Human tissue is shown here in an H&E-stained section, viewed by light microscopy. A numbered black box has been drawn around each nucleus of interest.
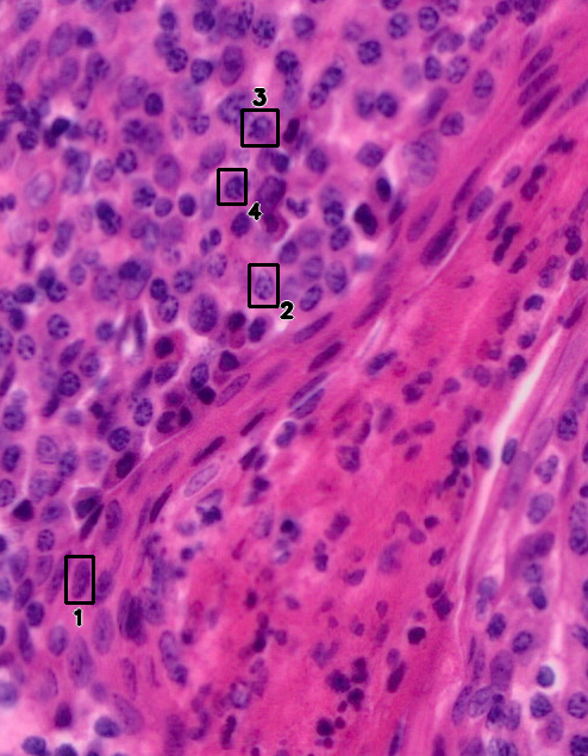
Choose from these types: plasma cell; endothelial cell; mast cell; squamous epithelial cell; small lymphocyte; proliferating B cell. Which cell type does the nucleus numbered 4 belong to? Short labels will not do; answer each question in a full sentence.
The marked nucleus 4 is that of a plasma cell.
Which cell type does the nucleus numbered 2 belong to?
The nucleus marked 2 is the nucleus of a plasma cell.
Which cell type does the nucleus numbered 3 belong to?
The mark numbered 3 indicates the nucleus of a plasma cell.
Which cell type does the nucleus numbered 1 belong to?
The cell to which the number 1 is assigned is a squamous epithelial cell.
